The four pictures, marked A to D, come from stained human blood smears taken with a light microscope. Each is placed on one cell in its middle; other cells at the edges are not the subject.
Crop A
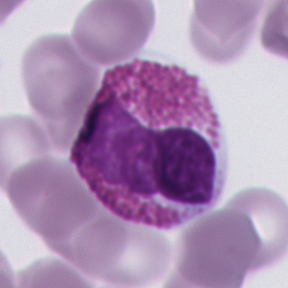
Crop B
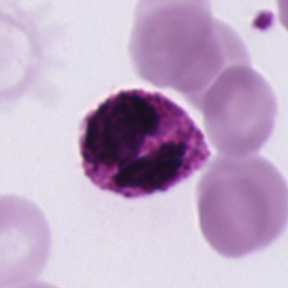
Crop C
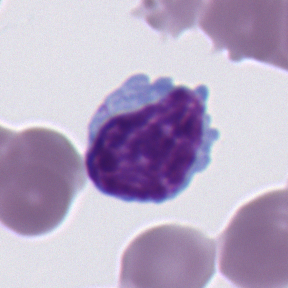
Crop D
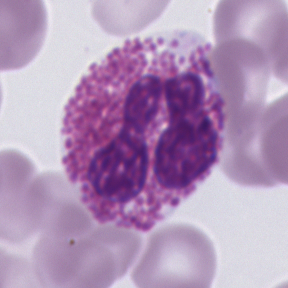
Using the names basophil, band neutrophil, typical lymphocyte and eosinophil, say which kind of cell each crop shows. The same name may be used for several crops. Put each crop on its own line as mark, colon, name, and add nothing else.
A: eosinophil
B: basophil
C: typical lymphocyte
D: eosinophil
